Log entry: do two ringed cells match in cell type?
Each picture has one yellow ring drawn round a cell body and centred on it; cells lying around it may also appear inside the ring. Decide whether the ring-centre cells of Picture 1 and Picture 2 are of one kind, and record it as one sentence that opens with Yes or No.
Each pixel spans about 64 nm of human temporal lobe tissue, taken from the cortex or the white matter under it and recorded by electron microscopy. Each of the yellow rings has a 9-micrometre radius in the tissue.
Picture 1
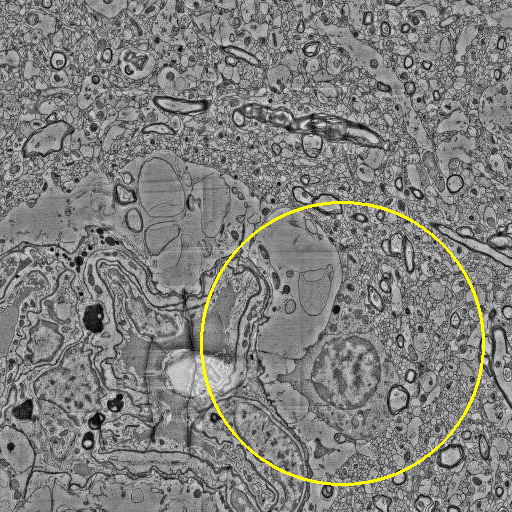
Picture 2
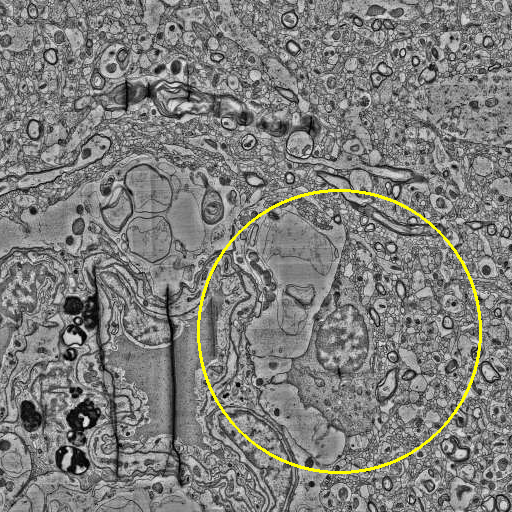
Yes, the cells at the ring centres of the two pictures belong to one kind.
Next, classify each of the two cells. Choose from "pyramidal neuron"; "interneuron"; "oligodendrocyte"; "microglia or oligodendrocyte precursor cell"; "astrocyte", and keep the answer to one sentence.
Both rings mark an oligodendrocyte, one in each picture.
